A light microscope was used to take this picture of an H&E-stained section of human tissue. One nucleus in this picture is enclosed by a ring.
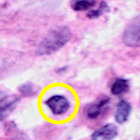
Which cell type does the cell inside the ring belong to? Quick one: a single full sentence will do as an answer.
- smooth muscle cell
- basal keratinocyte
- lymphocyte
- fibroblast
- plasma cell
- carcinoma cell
For the purposes of cell typing, the cell inside the ring is categorized as a lymphocyte.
